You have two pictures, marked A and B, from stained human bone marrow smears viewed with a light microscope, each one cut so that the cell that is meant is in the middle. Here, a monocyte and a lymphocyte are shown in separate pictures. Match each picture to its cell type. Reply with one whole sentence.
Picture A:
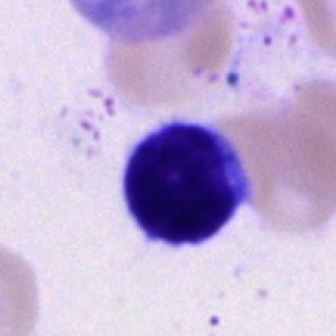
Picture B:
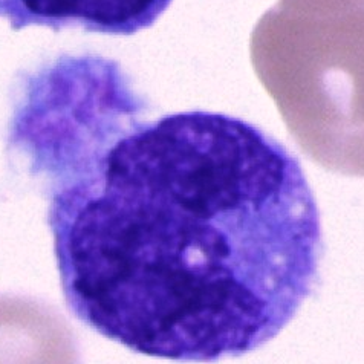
It is picture A that shows a lymphocyte, and picture B that shows a monocyte.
